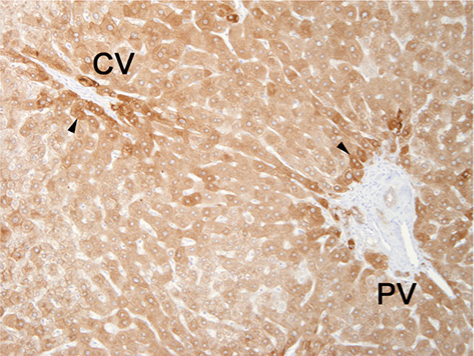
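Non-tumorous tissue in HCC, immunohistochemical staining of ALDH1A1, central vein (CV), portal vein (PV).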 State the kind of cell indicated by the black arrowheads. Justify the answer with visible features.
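The arrowheads point to large polygonal cells with round central nuclei lying right next to the vessels. These cells sit at the edge of the vessel spaces, within cords of similar cells. The cells the arrowheads mark are stained a darker brown than the cells farther away.
Conclusion: perivascular hepatocytes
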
